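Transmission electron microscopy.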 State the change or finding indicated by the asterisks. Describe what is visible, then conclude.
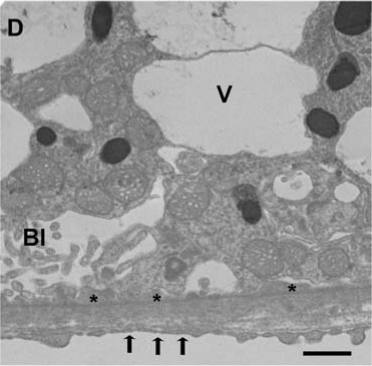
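The asterisks lie along a thin band between the base of the epithelial cell and the underlying layered membrane. Where the asterisks are, the cell base has no folded membrane processes. The answer: Thin basal laminar deposits.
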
